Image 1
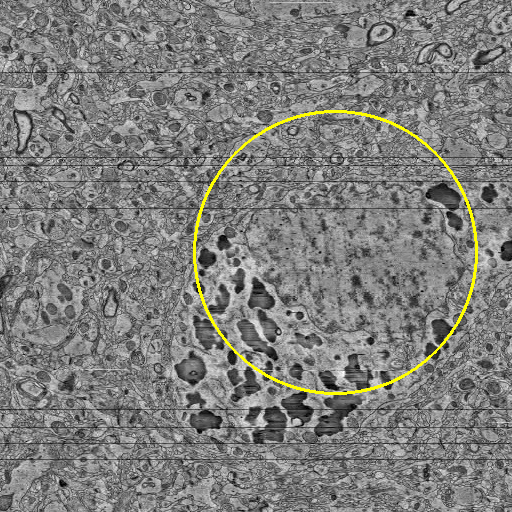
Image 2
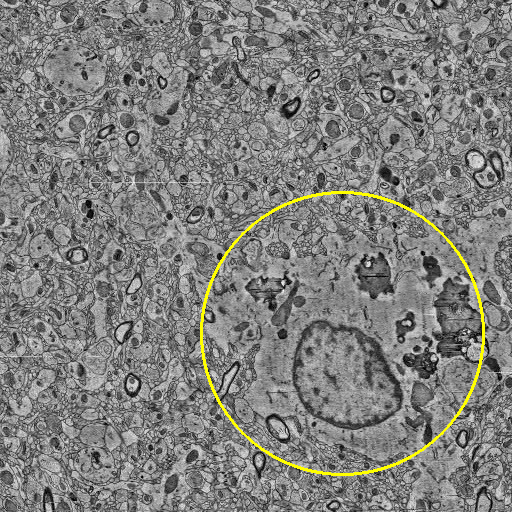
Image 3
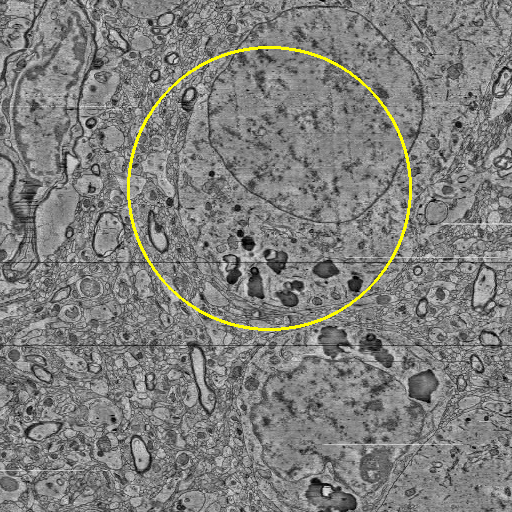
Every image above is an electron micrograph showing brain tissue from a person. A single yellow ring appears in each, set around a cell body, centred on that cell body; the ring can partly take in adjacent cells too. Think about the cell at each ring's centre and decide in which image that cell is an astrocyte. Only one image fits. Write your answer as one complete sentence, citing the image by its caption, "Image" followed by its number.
Image 2 is the one whose ringed central cell fits the description.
